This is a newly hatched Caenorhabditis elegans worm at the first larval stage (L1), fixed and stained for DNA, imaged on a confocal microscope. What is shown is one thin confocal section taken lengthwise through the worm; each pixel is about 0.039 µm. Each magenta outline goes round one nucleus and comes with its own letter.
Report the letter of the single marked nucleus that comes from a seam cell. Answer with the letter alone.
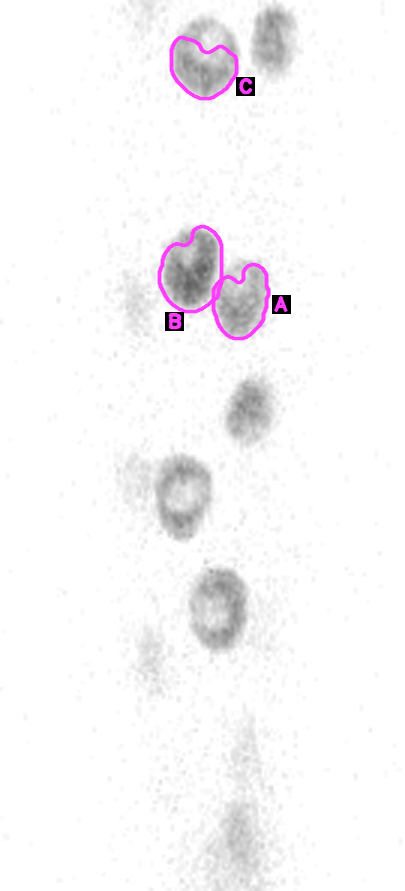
A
